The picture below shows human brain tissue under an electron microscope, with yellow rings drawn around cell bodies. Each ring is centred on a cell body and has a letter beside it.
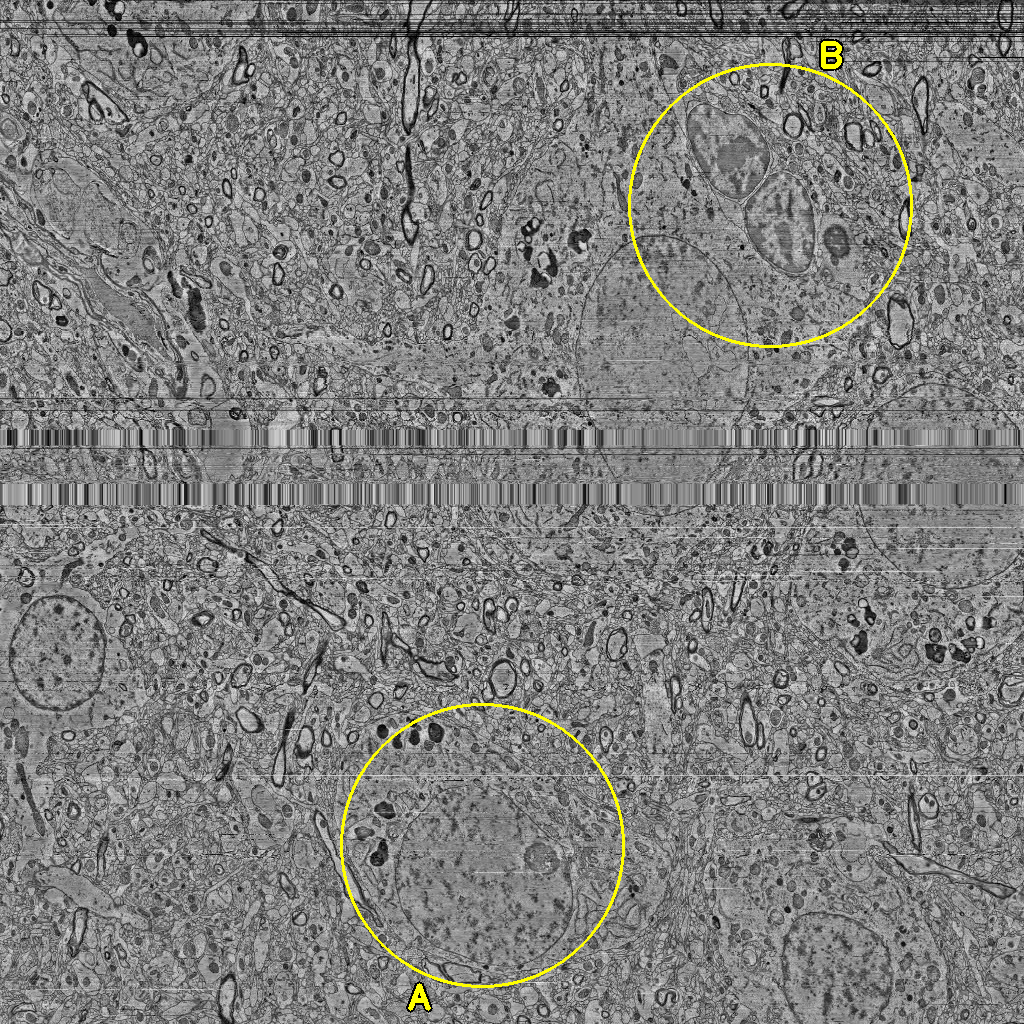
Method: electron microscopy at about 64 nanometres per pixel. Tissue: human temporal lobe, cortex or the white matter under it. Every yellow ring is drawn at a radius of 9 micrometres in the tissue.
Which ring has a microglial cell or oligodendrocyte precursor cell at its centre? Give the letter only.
B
